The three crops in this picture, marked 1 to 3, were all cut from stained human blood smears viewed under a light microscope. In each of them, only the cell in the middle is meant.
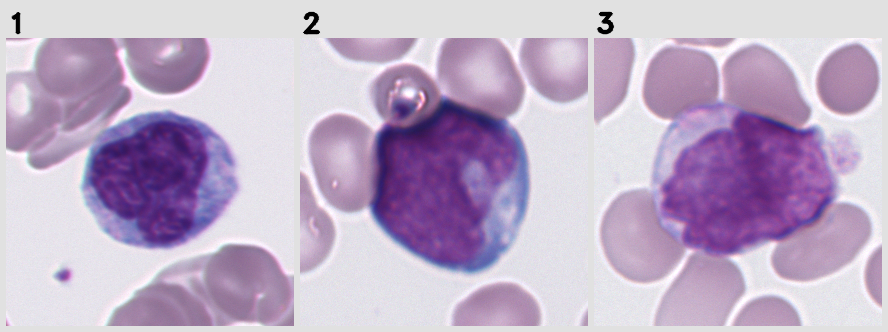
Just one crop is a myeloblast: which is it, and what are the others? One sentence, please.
In this group, crop 2 shows a myeloblast, while crop 1 is a monocyte and crop 3 is an atypical promyelocyte.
